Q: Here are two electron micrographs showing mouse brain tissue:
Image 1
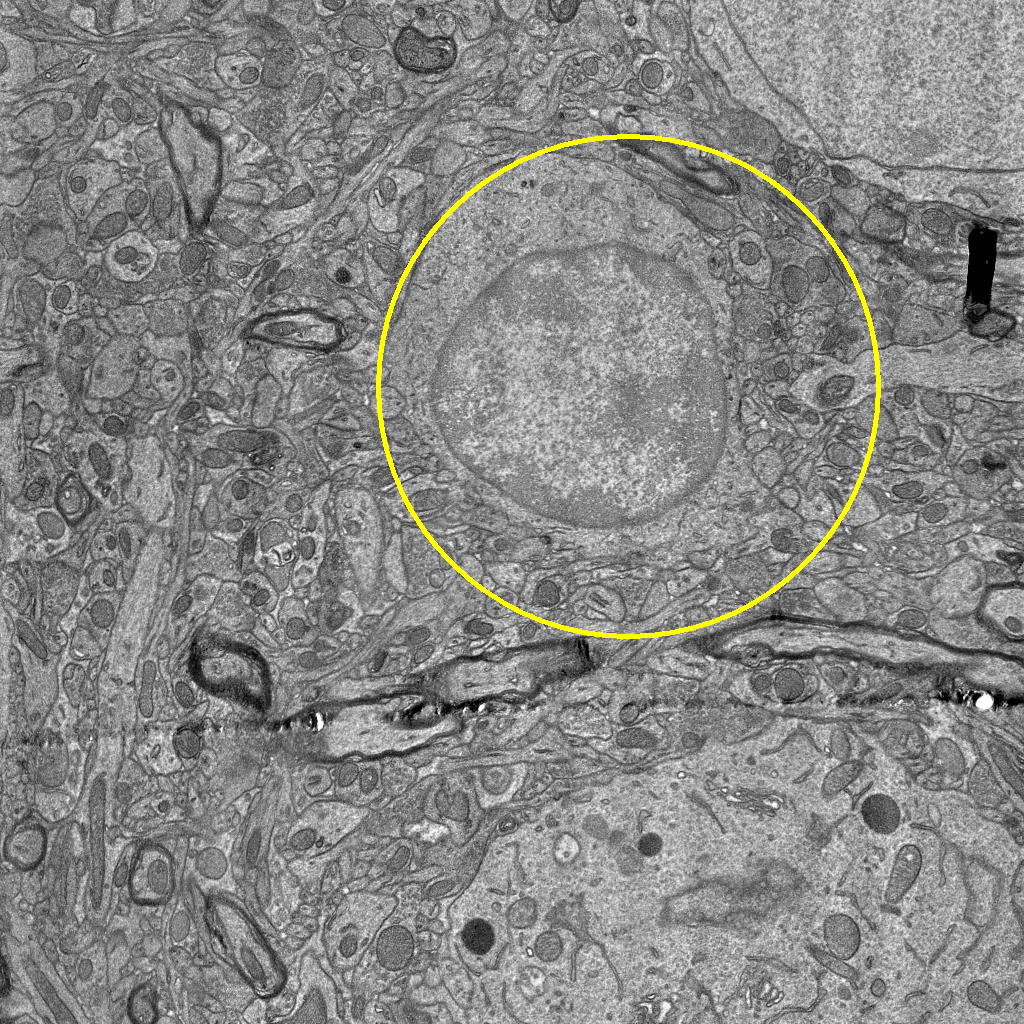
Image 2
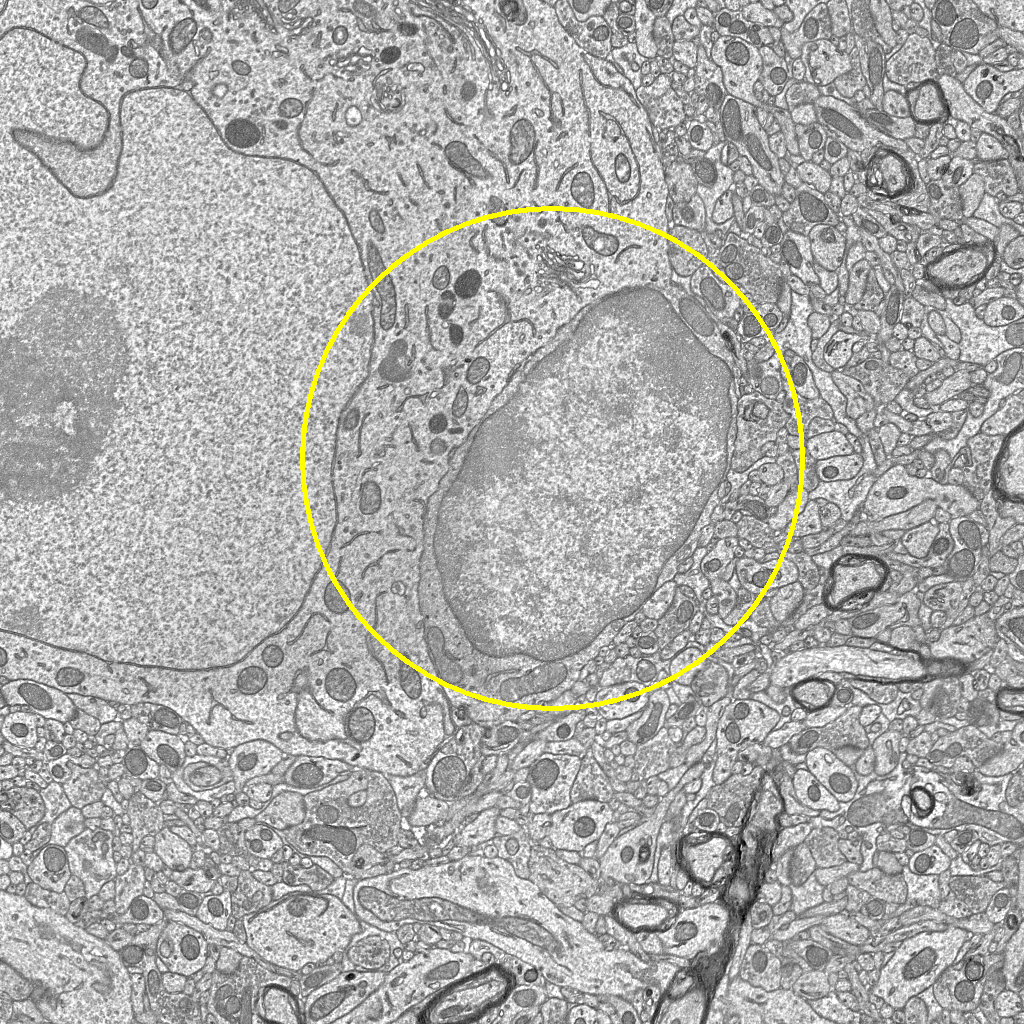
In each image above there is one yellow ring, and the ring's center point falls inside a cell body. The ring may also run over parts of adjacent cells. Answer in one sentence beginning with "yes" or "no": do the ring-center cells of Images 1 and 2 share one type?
Yes, in Images 1 and 2, the ring-center cells are both of one type.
